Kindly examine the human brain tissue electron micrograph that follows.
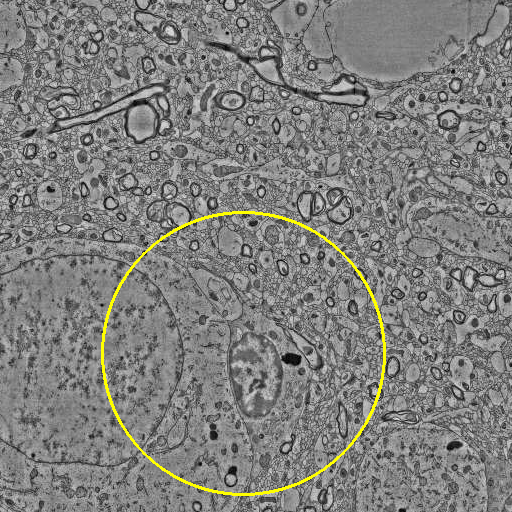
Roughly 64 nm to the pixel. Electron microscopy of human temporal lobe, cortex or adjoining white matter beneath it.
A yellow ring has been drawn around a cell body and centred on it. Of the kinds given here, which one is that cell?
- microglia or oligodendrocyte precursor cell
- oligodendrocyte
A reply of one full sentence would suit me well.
The micrograph's ringed cell, the one at the ring's centre, is an oligodendrocyte.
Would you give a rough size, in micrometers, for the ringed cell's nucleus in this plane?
About 5 by 3 micrometers in this plane, so the nucleus is clearly longer than it is wide.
